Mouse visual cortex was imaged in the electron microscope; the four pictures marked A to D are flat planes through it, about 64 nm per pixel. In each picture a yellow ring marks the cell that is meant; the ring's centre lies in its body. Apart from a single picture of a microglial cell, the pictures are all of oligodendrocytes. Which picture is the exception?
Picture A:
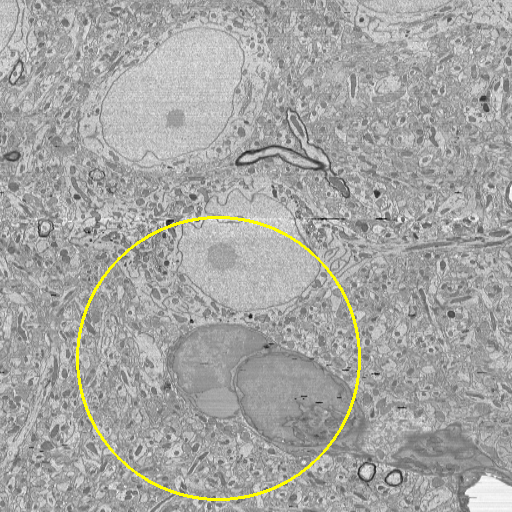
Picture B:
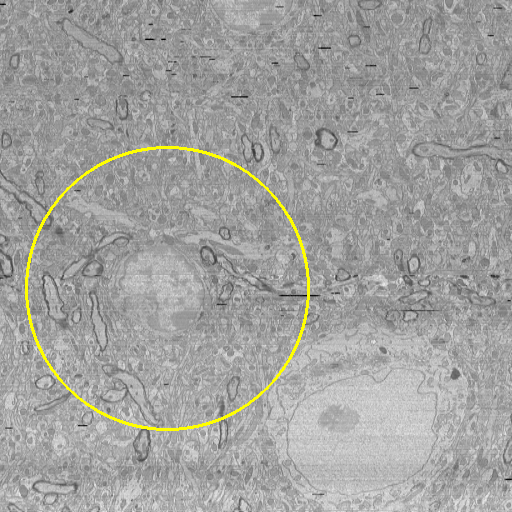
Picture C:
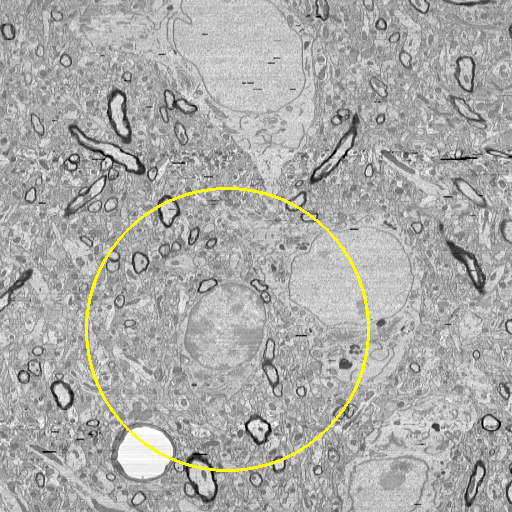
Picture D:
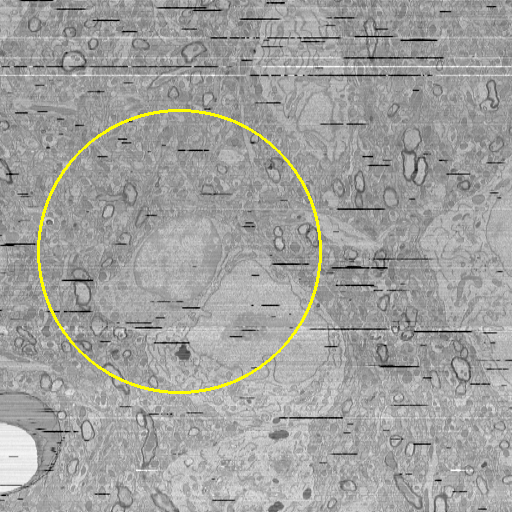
The microglial cell is the one in picture A.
